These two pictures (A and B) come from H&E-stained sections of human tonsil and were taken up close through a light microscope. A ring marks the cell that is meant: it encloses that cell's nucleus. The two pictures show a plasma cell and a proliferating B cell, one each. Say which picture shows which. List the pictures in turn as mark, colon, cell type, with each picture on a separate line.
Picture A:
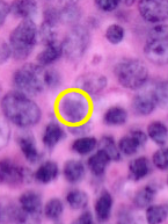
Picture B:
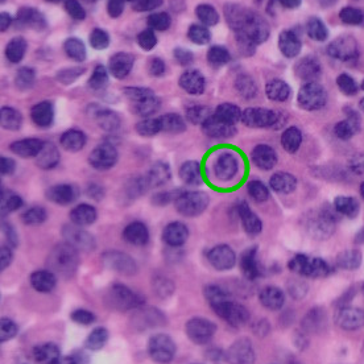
A: proliferating B cell
B: plasma cell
